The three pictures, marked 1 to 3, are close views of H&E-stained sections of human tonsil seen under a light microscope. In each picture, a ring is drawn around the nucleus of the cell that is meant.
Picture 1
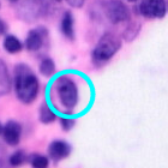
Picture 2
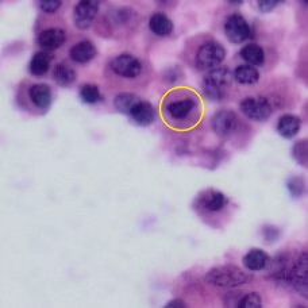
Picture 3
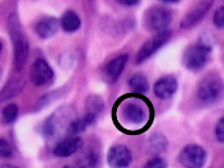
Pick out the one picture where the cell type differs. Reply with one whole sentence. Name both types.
The different one is picture 1; it shows a proliferating B cell, whereas all the others show plasma cells.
